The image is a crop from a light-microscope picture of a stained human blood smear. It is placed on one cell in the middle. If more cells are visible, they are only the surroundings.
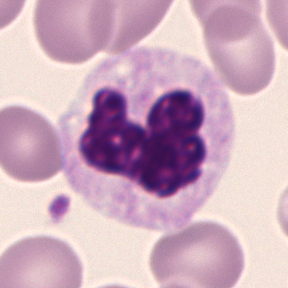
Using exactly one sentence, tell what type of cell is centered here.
Among the cells in view, the one in the middle is a neutrophil.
